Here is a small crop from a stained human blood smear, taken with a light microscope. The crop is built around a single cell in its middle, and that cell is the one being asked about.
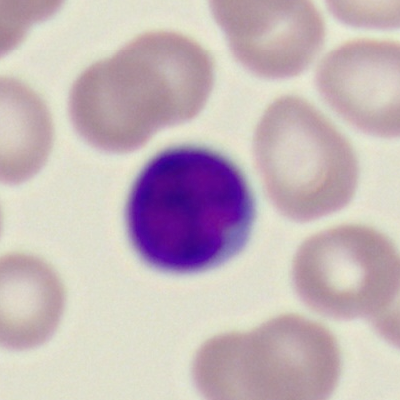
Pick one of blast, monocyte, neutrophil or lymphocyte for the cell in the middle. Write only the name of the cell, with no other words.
lymphocyte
